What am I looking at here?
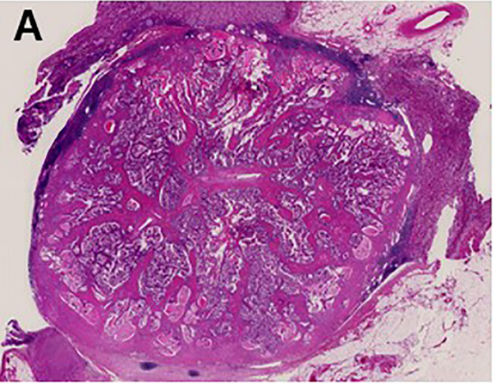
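At low power a rounded tumor nodule is surrounded by a thick band of pink fibrous stroma that separates it from the adjacent tissue. Inside, fibrous septa divide the nodule into lobules filled with branching, lace-like papillary tissue.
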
